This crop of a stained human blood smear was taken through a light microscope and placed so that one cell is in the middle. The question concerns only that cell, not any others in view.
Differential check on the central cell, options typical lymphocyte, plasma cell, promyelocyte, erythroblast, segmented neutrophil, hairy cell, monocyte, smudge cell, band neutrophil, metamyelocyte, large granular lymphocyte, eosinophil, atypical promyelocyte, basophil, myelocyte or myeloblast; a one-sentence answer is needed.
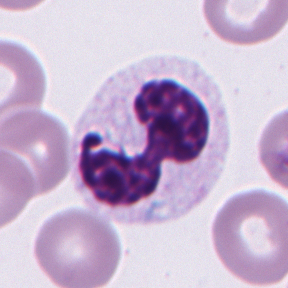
In the central position of this crop, the cell is a segmented neutrophil.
